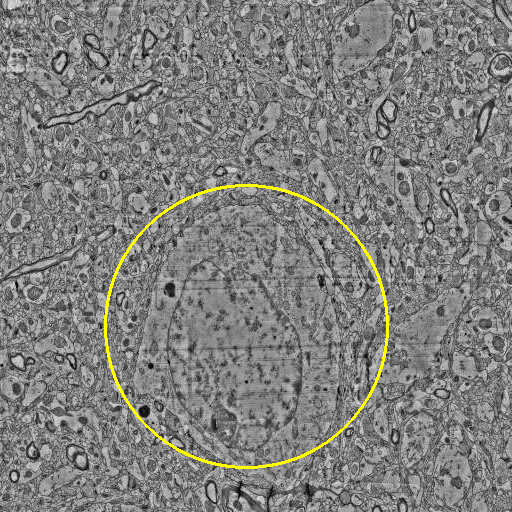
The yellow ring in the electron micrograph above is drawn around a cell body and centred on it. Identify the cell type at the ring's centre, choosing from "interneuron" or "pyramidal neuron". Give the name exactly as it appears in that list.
interneuron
